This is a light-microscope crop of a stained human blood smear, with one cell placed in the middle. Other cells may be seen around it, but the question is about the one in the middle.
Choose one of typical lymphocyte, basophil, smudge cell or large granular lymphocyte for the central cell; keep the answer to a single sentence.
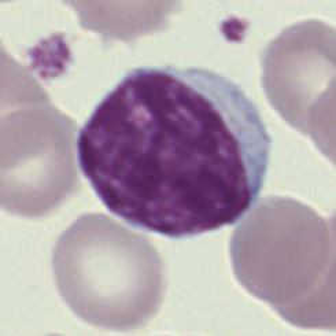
The cell of interest, in the center, is a typical lymphocyte.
